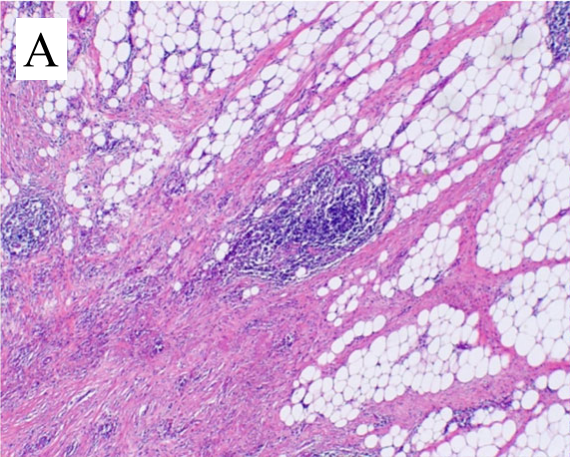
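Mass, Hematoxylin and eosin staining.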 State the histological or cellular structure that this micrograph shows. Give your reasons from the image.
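Rounded, dense, dark purple aggregates of small round cells. The aggregates sit within pink fibrous bands running between fat lobules.
Conclusion: lymphoid follicles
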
